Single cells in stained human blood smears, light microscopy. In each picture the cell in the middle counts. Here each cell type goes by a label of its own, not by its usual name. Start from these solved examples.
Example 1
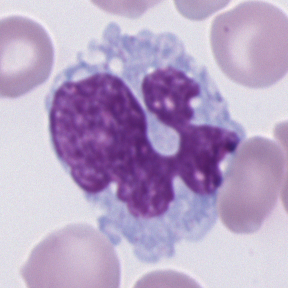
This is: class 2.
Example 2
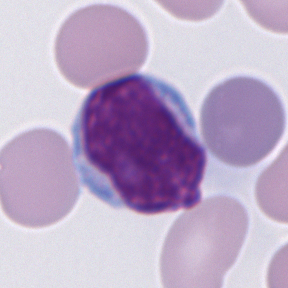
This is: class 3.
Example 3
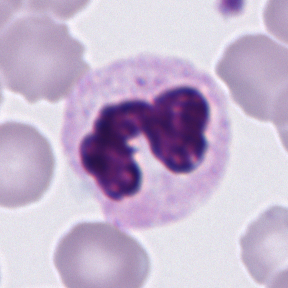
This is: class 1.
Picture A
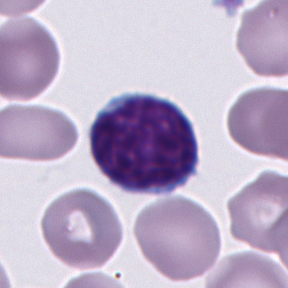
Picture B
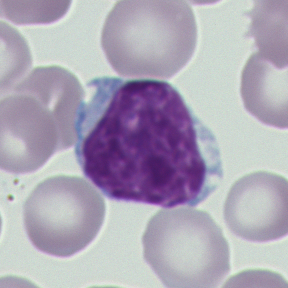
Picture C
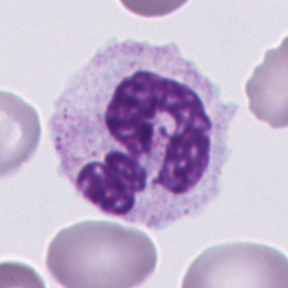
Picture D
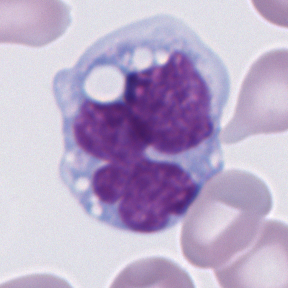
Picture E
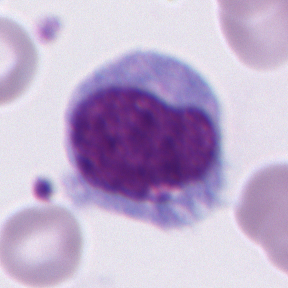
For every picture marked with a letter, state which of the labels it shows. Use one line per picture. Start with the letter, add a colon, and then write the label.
A: class 3.
B: class 3.
C: class 1.
D: class 2.
E: class 2.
